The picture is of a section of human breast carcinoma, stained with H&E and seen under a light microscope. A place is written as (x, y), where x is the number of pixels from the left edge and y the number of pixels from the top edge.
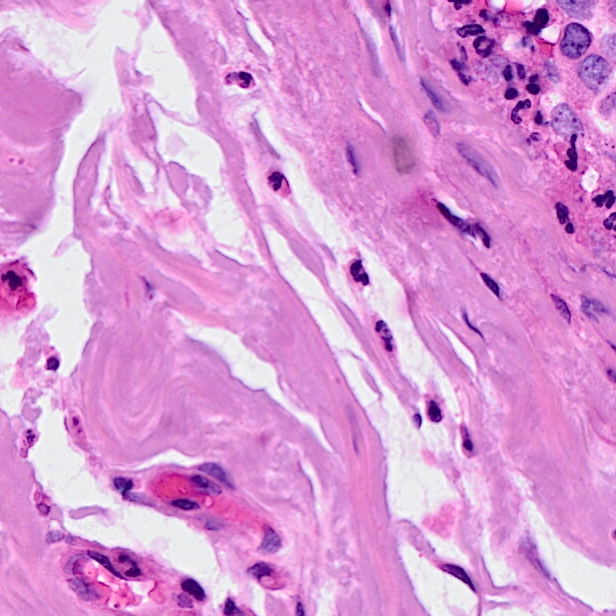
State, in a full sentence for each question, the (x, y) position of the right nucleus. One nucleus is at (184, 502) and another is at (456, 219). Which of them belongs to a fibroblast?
As for which of the two, the nucleus at (456, 219) belongs to a fibroblast.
